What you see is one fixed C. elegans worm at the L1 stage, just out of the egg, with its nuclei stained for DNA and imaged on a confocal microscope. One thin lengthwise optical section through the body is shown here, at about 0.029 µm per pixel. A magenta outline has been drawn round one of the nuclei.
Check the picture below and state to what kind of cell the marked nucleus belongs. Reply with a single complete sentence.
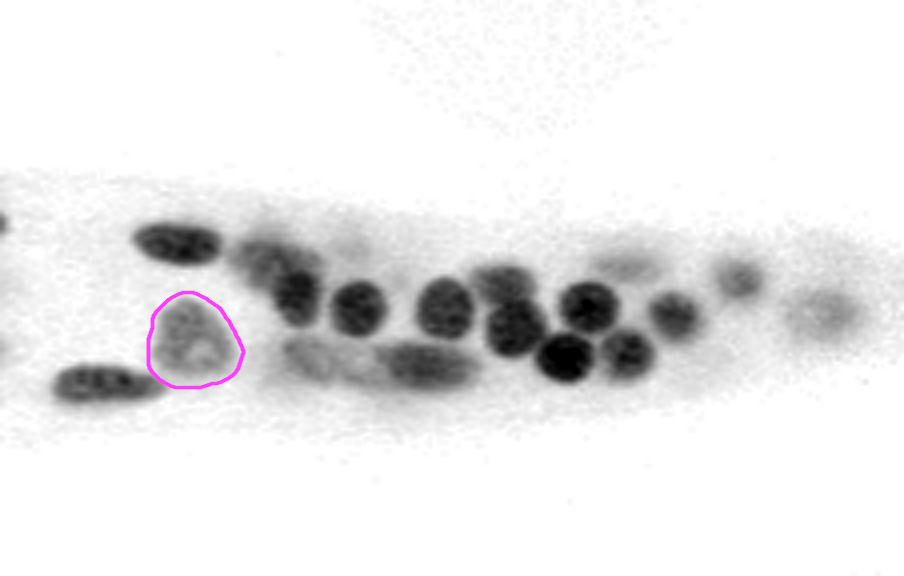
This is the nucleus of an intestinal cell.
